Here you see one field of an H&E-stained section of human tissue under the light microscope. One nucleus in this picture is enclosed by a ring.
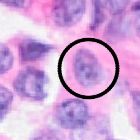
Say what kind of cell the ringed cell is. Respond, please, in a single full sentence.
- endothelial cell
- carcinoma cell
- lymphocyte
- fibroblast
It is as a carcinoma cell that the ringed cell is classified.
